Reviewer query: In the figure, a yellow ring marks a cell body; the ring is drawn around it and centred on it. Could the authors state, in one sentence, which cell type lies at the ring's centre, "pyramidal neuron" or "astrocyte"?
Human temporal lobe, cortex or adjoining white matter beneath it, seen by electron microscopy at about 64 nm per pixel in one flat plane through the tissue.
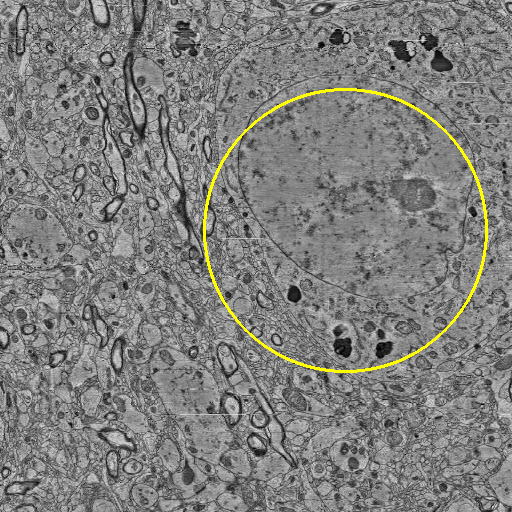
The ring is centred on a pyramidal neuron.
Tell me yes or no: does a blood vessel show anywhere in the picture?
No, no vessel shows anywhere in the image.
